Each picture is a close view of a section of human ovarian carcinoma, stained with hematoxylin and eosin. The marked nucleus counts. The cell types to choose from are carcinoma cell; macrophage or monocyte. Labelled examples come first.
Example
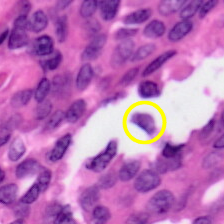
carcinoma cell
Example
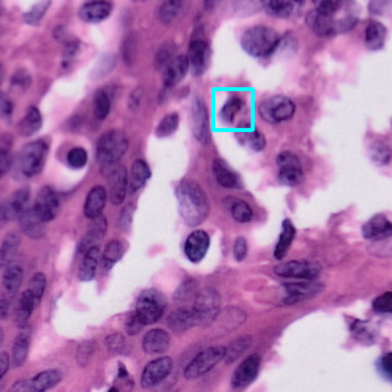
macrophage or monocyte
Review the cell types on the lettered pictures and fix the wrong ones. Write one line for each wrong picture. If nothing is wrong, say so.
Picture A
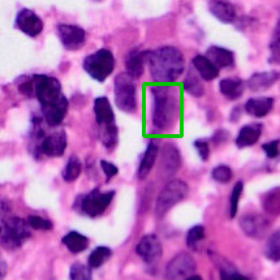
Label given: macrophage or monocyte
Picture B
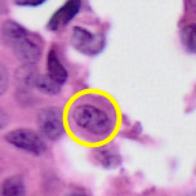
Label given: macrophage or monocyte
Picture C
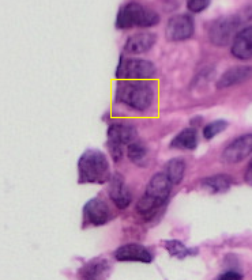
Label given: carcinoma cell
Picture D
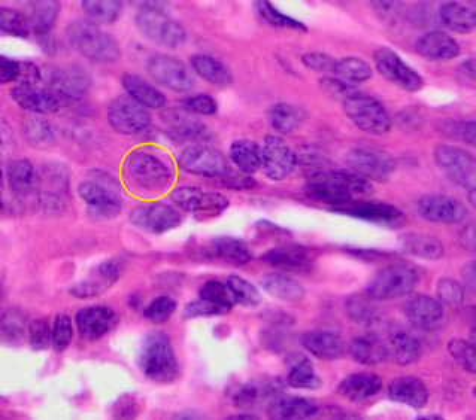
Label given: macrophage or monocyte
A is labelled macrophage or monocyte; correct label: carcinoma cell
D is labelled macrophage or monocyte; correct label: carcinoma cell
